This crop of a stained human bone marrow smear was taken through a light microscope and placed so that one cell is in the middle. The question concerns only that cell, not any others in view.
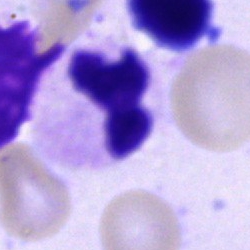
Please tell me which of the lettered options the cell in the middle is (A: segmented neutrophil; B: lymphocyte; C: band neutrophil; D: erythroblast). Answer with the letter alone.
A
